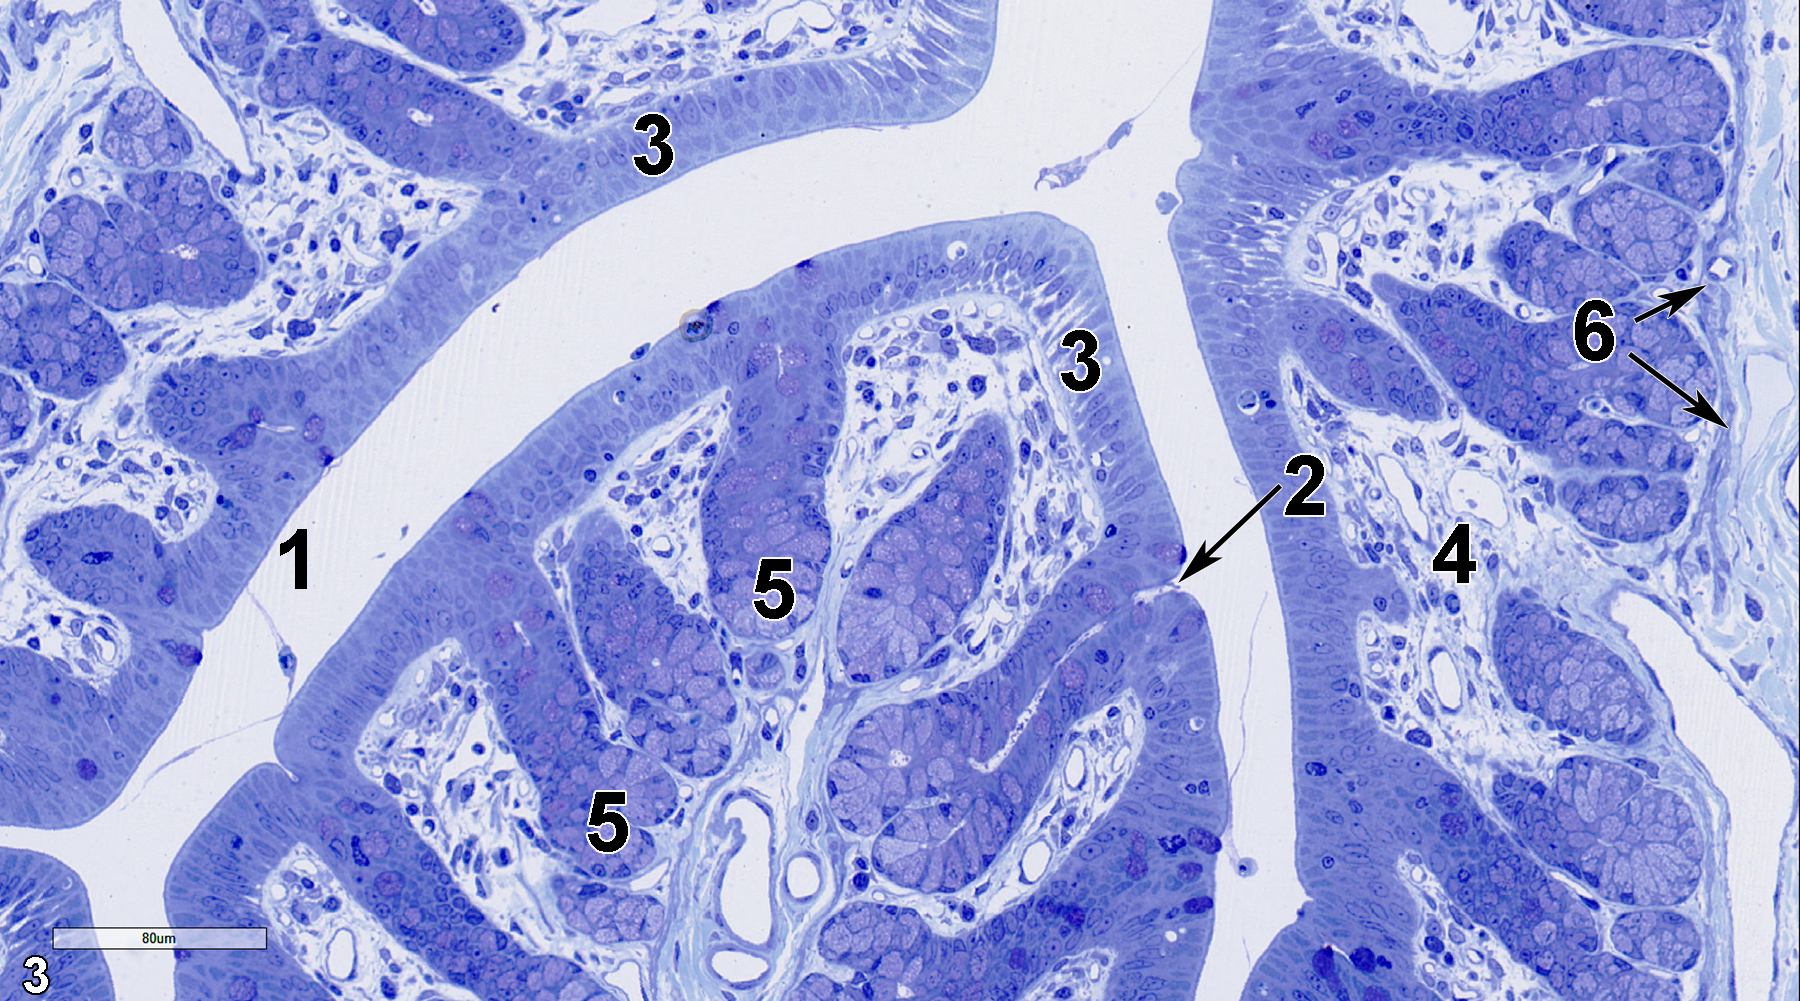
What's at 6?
At 6: muscularis mucosae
